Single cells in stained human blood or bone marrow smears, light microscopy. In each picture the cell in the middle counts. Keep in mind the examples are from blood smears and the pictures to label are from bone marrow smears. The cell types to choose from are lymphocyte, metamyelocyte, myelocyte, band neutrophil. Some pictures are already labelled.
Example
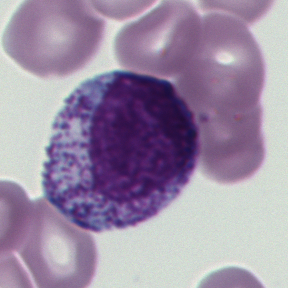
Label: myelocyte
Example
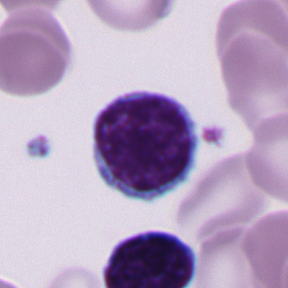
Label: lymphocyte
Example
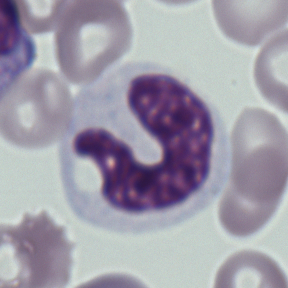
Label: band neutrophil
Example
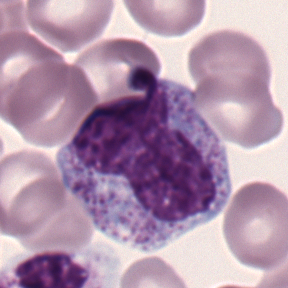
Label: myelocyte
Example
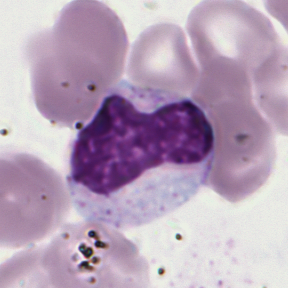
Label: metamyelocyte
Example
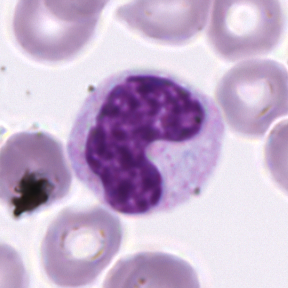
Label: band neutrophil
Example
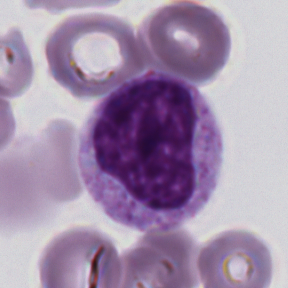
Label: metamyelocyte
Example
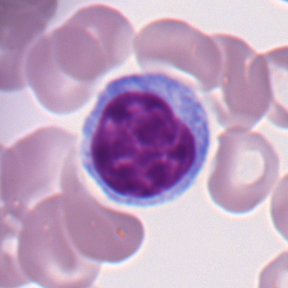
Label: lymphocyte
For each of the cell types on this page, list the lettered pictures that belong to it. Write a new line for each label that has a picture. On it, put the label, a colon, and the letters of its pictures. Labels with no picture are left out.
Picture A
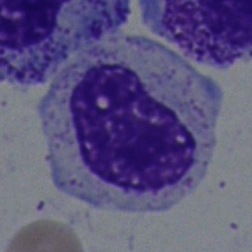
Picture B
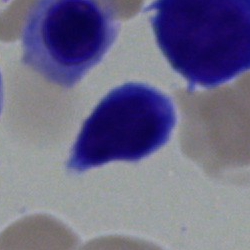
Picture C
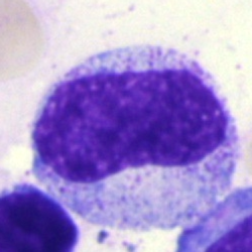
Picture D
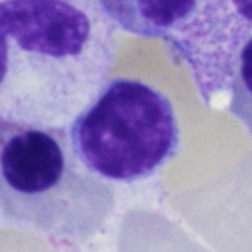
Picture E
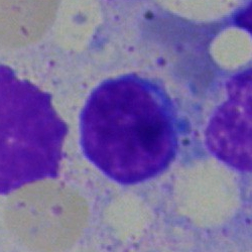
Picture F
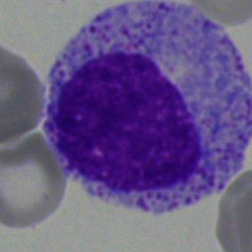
lymphocyte: B, D, E
metamyelocyte: A, C
myelocyte: F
